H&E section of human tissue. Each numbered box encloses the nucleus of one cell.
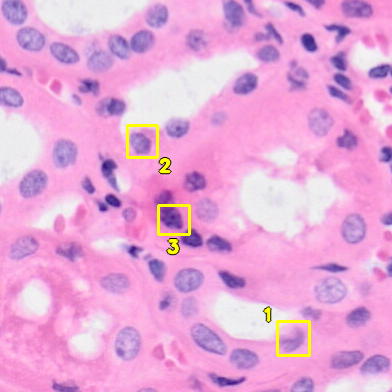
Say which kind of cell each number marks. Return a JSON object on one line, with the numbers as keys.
{"1": "collecting duct cell", "2": "loop of Henle or distal tubule cell", "3": "proximal tubule cell"}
